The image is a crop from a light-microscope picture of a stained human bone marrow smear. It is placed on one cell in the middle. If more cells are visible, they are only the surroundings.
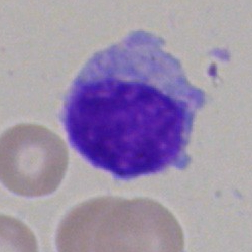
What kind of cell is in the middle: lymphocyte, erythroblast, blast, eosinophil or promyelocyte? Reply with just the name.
lymphocyte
